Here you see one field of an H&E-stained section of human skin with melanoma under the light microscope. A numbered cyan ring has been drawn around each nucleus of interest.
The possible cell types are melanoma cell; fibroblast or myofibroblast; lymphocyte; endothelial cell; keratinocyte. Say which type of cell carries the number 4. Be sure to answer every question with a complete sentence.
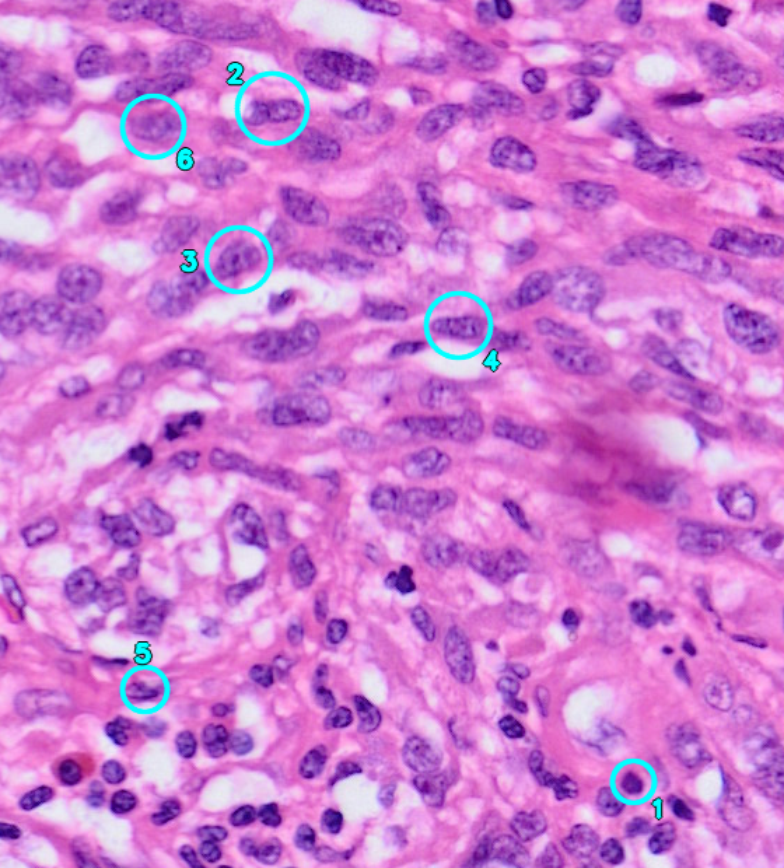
Numbered cell 4 is a melanoma cell in this tissue section.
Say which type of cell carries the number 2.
The cell indicated with the number 2 is classed as a melanoma cell.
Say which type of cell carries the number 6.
Cell 6 is classified as a melanoma cell.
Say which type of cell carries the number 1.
The numbered cell 1 is identified here as a lymphocyte.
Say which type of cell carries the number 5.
In the tissue shown, cell 5 is an endothelial cell.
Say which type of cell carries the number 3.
The one numbered 3 among the marked cells is a melanoma cell.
